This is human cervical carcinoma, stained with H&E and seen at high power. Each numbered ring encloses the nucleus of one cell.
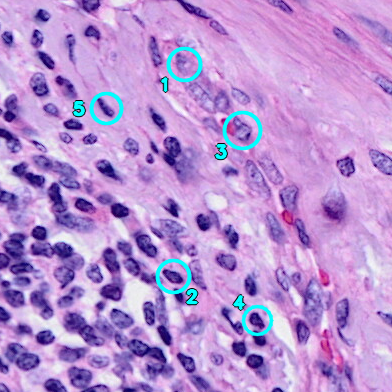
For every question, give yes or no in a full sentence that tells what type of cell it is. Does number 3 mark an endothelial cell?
Yes, to put it simply, cell number 3 is an endothelial cell.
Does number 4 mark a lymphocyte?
Yes, what number 4 marks is a lymphocyte.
